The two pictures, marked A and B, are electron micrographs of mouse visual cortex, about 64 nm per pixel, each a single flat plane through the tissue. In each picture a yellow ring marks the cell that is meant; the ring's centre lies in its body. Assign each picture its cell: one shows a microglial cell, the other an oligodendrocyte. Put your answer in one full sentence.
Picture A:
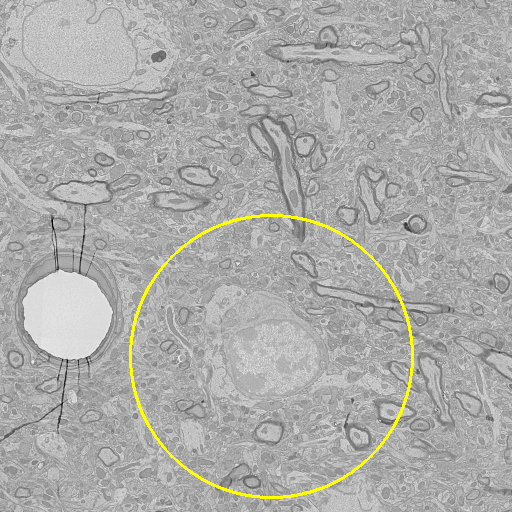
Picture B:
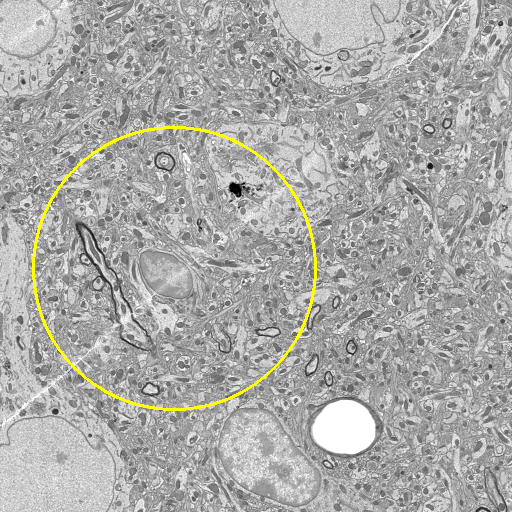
It is picture A that shows an oligodendrocyte, and picture B that shows a microglial cell.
